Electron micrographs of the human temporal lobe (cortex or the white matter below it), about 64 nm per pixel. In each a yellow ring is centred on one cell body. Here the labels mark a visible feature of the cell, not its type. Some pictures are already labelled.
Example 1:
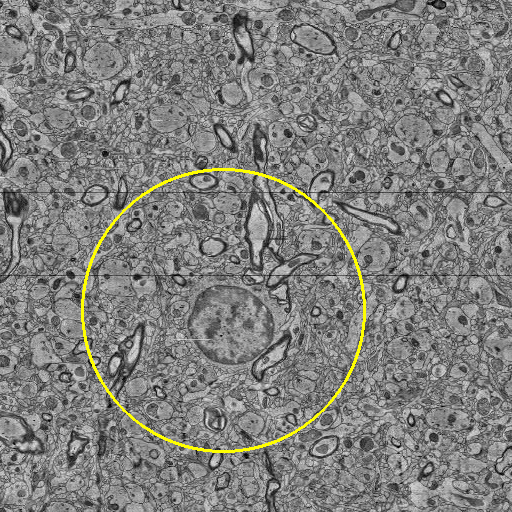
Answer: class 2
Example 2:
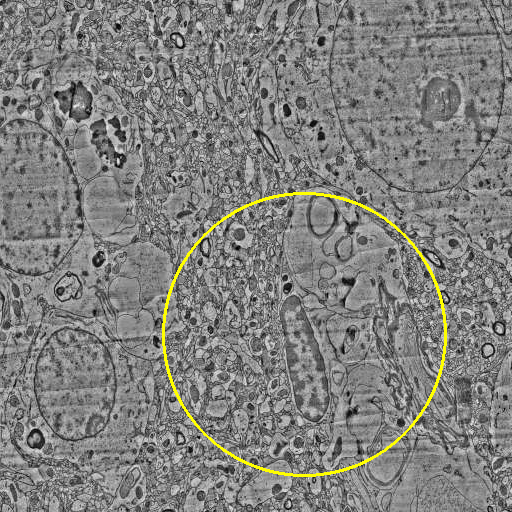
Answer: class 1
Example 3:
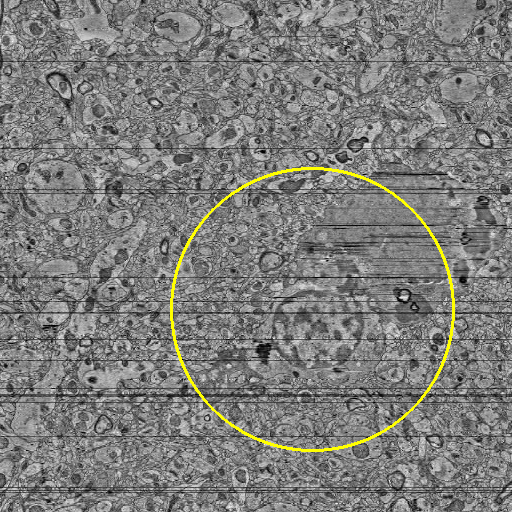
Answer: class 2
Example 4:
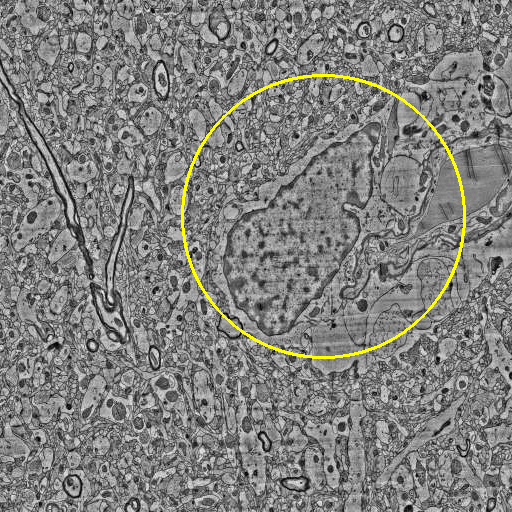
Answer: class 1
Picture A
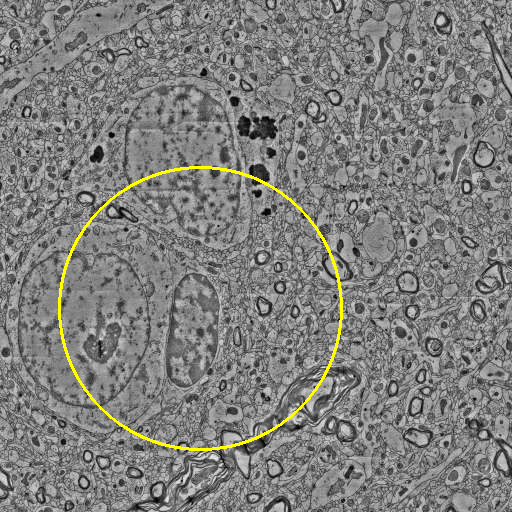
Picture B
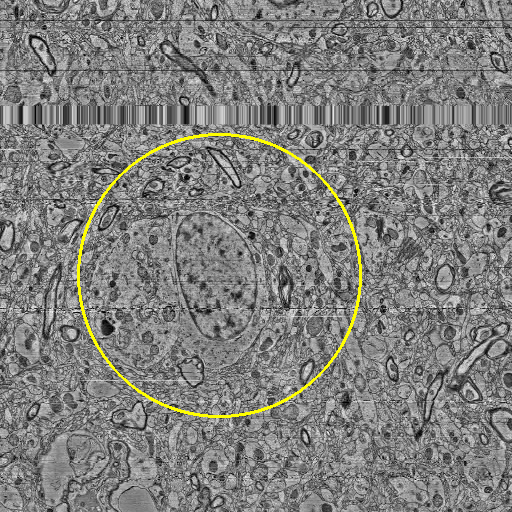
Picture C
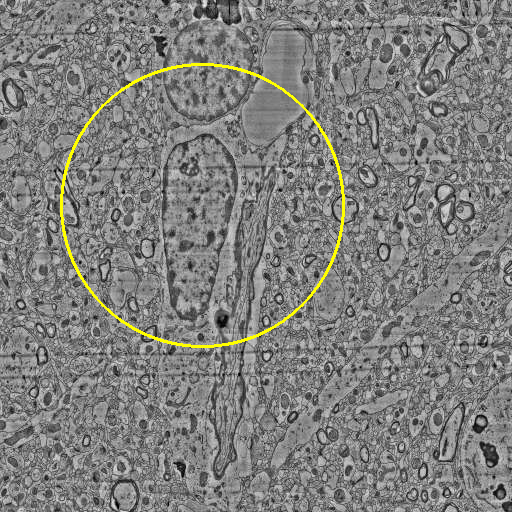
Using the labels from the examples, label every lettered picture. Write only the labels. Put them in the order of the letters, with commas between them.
class 1, class 1, class 1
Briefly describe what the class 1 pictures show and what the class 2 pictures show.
Seen in class 1: clearly elongated nuclei; seen in class 2: round or nearly round nuclei.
